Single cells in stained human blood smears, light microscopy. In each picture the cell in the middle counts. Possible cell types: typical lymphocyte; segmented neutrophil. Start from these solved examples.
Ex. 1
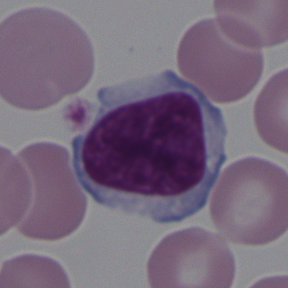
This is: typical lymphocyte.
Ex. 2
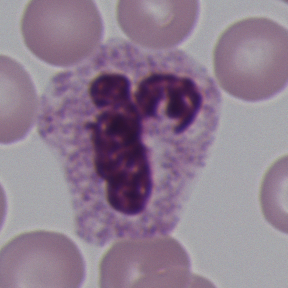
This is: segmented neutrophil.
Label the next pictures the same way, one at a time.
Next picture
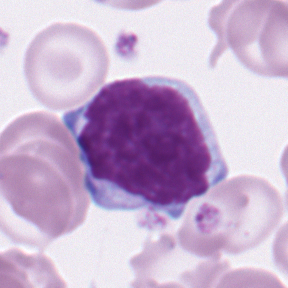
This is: typical lymphocyte.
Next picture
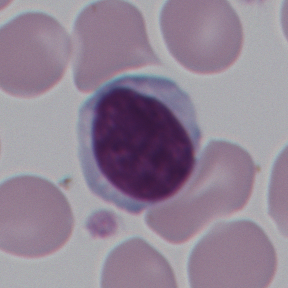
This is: typical lymphocyte.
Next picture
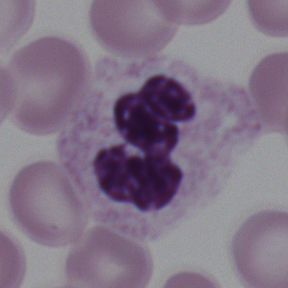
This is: segmented neutrophil.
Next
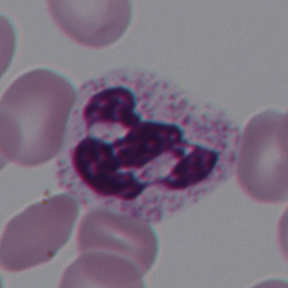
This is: segmented neutrophil.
